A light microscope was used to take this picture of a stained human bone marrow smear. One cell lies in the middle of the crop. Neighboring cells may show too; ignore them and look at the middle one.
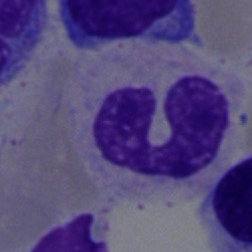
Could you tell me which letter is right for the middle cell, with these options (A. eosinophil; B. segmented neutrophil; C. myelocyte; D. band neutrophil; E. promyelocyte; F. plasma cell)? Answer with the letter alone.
D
